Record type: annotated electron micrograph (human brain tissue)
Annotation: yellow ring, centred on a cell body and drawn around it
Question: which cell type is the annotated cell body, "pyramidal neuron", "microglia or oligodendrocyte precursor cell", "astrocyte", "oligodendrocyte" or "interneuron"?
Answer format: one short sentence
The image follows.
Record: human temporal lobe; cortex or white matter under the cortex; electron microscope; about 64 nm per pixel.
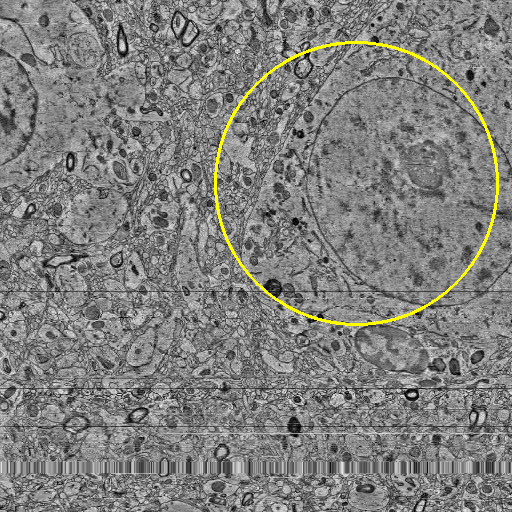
The annotated cell body is that of a pyramidal neuron.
